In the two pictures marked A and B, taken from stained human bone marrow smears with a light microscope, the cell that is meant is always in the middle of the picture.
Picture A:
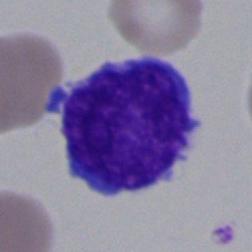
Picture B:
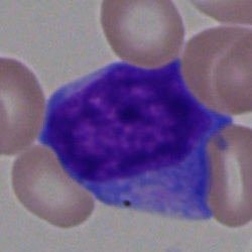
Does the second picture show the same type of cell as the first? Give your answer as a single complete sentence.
Yes; the cells in both pictures are blasts.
